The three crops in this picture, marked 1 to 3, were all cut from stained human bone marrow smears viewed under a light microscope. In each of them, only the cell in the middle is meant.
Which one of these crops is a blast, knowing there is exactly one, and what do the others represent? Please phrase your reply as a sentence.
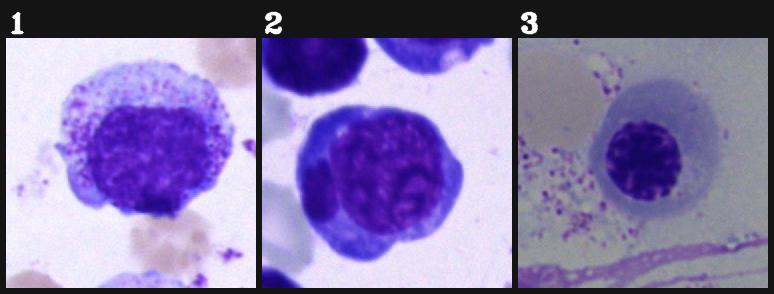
The cell sitting in crop 2 is a blast, while crop 1 is a promyelocyte and crop 3 is an erythroblast.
